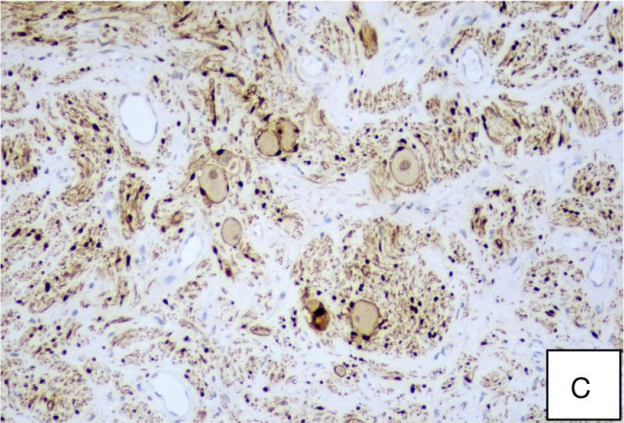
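This section shows a tumor of spindle cells in bundles with scattered large ganglion-like cells, stained brown. The brown stain outlines elongated wavy cell bundles that run in interlacing fascicles separated by paler, lightly stained stroma. Several large round cells with abundant cytoplasm and a round nucleus are also brown, some more intensely than others. Small empty vessel spaces lie between the bundles.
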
